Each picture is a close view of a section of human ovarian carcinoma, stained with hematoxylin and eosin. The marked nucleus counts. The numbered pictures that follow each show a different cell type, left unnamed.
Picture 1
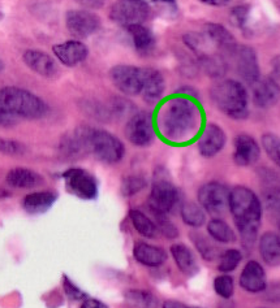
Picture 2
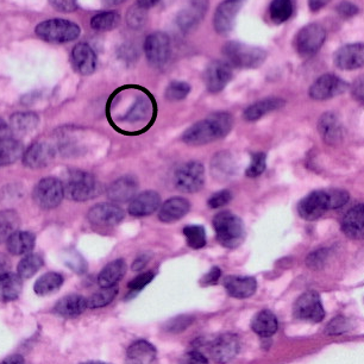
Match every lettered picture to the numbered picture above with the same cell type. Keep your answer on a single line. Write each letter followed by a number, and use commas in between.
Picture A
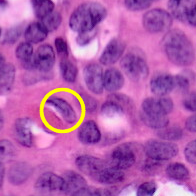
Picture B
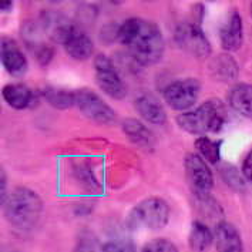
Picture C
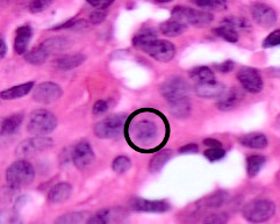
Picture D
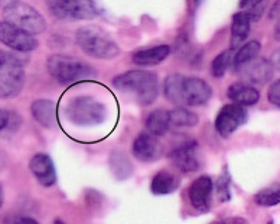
A 2, B 2, C 1, D 1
